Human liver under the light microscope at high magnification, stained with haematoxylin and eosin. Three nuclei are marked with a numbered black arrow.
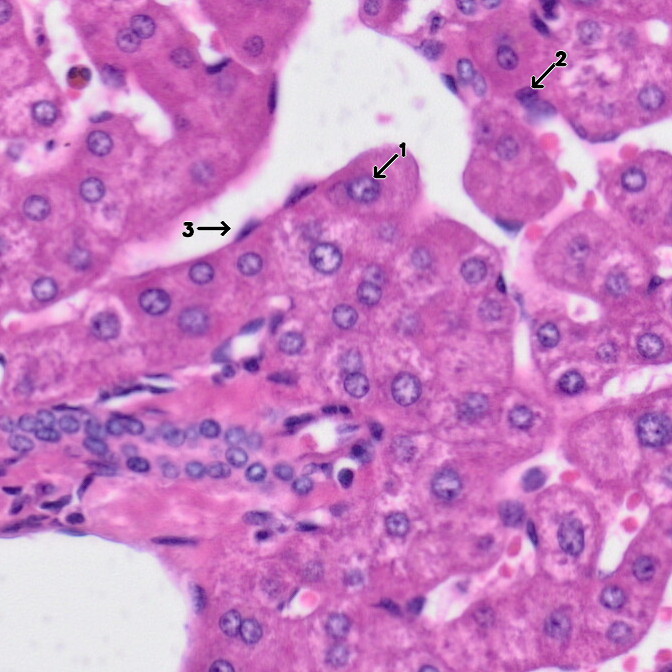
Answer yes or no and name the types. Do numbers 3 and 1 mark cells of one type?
No, cell 3 is classed as a fibroblast or stellate cell and cell 1 as a hepatocyte.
